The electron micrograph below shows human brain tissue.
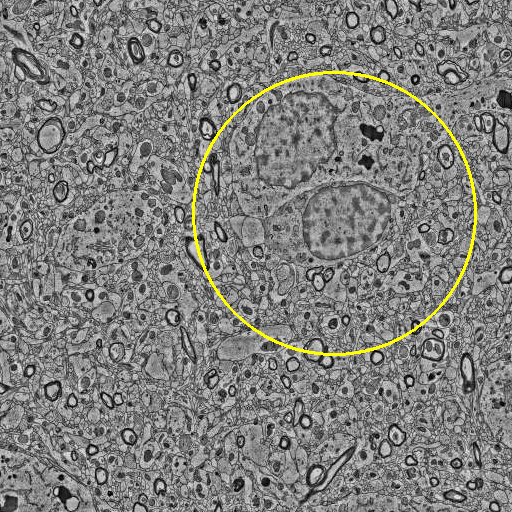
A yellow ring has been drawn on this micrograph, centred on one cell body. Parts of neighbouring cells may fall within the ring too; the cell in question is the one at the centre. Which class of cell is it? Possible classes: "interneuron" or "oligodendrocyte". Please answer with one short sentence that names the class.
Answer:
In the centre of the ring sits an oligodendrocyte.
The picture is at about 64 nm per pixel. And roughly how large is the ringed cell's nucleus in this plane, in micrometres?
The nucleus is approximately 6 micrometers long by 5 micrometers wide in this plane.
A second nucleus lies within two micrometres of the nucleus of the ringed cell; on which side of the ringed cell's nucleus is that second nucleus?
The other nucleus lies to the upper left of it in the picture.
